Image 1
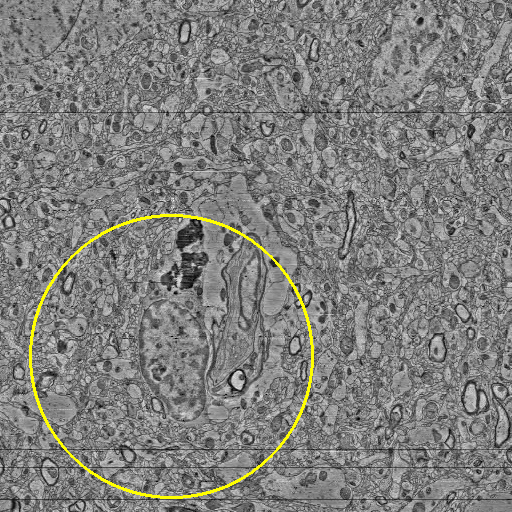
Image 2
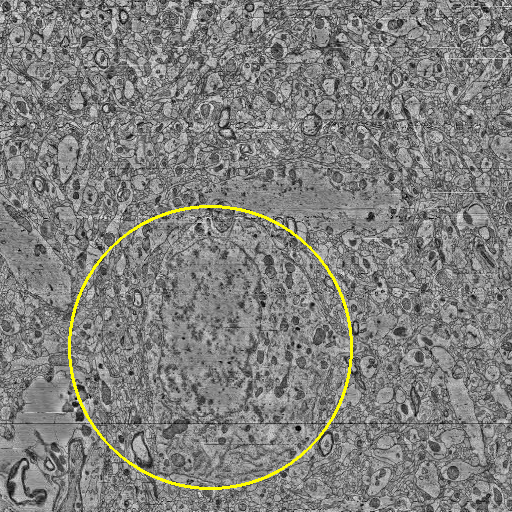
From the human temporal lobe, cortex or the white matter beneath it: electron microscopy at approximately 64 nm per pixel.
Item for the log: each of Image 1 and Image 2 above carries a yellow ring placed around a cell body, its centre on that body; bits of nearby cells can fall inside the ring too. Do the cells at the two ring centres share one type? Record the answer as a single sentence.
No, the two cells at the ring centres in Image 1 and Image 2 are of two types.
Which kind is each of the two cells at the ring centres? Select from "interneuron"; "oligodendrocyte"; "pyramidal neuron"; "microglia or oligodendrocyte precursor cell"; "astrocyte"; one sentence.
The cell at the centre of the ring is an oligodendrocyte in the first picture and an interneuron in the second.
